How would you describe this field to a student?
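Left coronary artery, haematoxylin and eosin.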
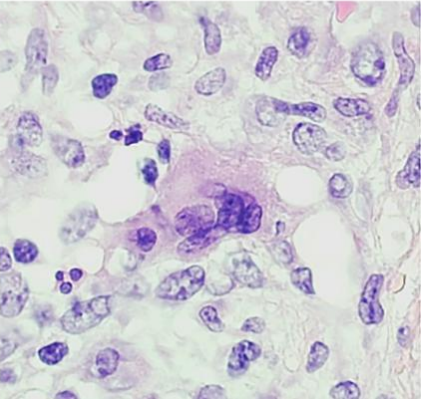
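At high magnification a single giant cell sits in the centre of inflamed arterial wall tissue. It is much larger than its neighbours, with a rim of pink cytoplasm and a cluster of several dark purple nuclei crowded together. Around it lie many oval nuclei with fine chromatin among pale spaces. Nearby are a few small cells with segmented or dense dark nuclei.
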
